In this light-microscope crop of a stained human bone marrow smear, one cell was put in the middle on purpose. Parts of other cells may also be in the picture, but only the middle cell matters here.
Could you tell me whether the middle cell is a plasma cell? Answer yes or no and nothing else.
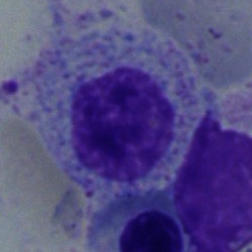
no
